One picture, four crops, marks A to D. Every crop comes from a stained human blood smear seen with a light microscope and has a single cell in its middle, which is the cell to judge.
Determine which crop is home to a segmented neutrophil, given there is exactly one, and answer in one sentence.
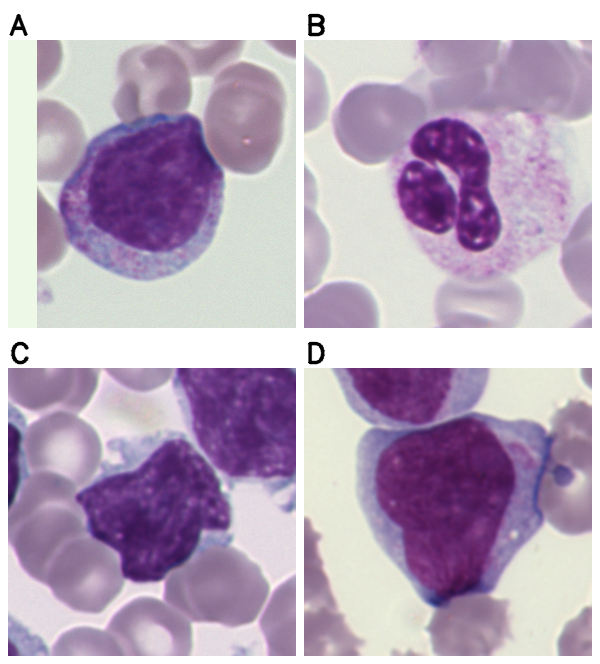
The one crop in the set with a segmented neutrophil is crop B.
